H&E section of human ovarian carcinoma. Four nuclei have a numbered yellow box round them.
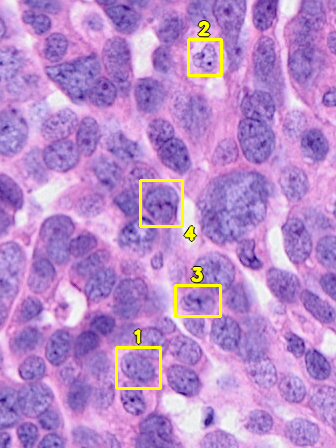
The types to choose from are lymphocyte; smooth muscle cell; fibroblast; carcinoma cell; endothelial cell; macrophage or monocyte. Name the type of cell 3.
macrophage or monocyte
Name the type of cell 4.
carcinoma cell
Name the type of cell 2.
macrophage or monocyte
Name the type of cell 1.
carcinoma cell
